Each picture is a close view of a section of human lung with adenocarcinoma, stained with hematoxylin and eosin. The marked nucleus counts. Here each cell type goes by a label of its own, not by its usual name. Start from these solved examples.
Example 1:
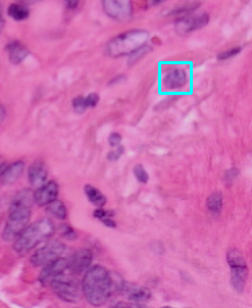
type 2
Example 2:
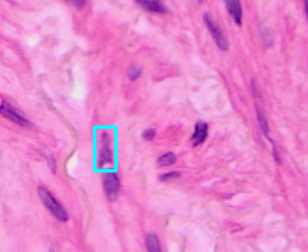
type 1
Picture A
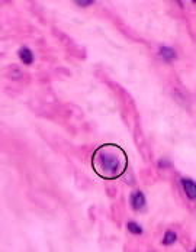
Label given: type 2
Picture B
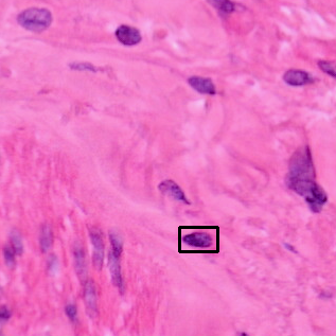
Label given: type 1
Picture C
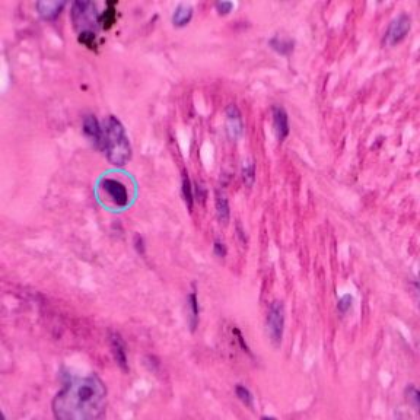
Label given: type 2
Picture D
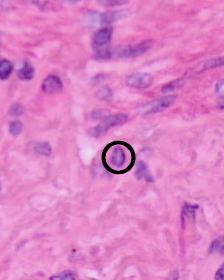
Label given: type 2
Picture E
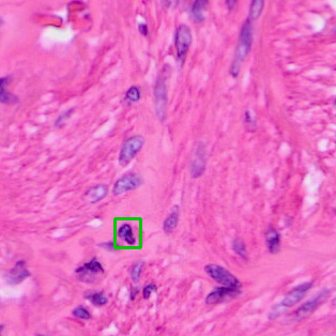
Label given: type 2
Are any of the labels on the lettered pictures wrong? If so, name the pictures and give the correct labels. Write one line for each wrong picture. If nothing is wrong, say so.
Wrong: A (type 2); correct: type 1
Wrong: B (type 1); correct: type 2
